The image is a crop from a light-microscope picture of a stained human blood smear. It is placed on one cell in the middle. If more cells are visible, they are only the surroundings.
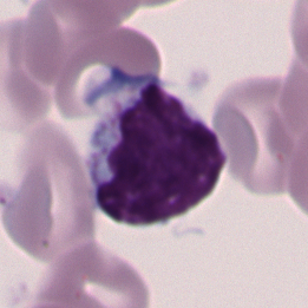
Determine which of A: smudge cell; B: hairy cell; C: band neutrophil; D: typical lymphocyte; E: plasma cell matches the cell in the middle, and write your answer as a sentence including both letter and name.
The correct response is option D, naming the cell in the middle as a typical lymphocyte.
